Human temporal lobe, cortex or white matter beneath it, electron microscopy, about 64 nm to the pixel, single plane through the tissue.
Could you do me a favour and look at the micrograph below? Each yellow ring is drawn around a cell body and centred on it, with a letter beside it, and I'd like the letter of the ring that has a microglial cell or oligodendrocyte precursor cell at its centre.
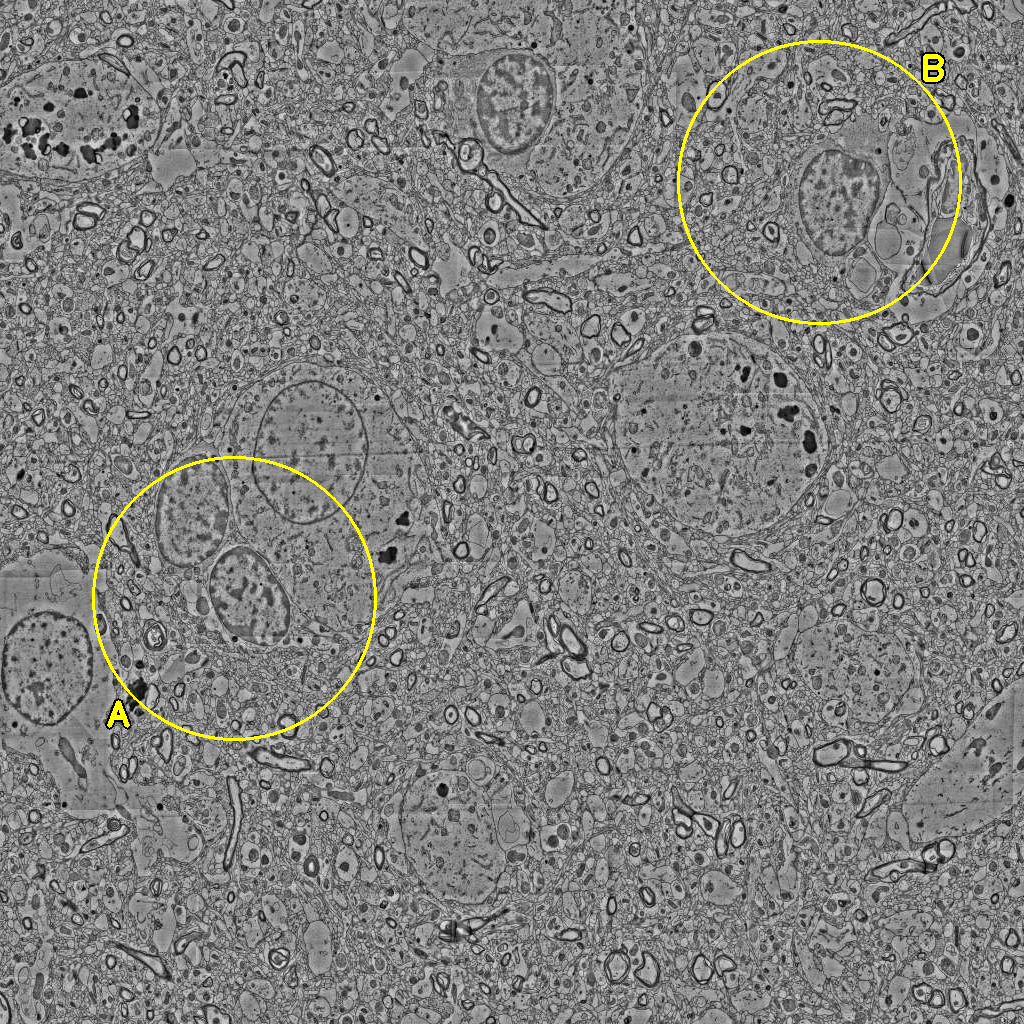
A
